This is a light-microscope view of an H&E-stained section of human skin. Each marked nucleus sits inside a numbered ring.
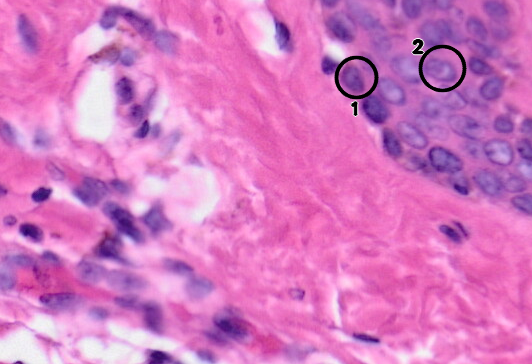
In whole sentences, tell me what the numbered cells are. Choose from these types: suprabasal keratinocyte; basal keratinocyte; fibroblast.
Cell 1 is a basal keratinocyte. Cell 2 is a suprabasal keratinocyte.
